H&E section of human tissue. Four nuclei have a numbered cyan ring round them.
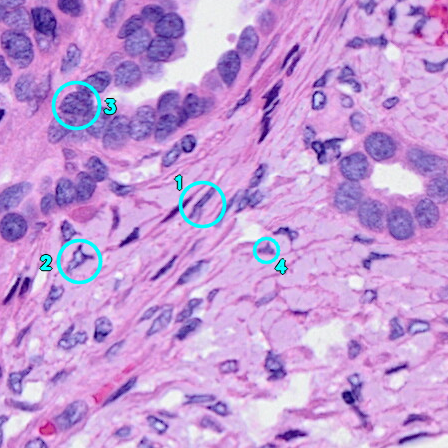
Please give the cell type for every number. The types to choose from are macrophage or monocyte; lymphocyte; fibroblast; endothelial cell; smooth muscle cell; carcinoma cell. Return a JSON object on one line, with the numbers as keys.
{"1": "fibroblast", "2": "fibroblast", "3": "carcinoma cell", "4": "fibroblast"}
